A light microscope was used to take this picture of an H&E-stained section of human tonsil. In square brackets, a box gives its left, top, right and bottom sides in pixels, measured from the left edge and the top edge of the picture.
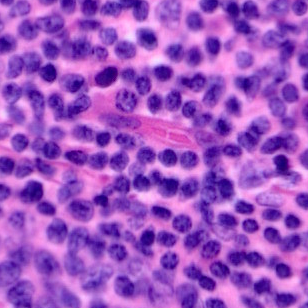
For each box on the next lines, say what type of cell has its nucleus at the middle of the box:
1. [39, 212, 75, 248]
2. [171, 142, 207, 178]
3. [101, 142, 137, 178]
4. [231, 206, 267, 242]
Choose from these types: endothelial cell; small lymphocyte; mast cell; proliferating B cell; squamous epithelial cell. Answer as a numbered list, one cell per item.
1. proliferating B cell
2. small lymphocyte
3. small lymphocyte
4. small lymphocyte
